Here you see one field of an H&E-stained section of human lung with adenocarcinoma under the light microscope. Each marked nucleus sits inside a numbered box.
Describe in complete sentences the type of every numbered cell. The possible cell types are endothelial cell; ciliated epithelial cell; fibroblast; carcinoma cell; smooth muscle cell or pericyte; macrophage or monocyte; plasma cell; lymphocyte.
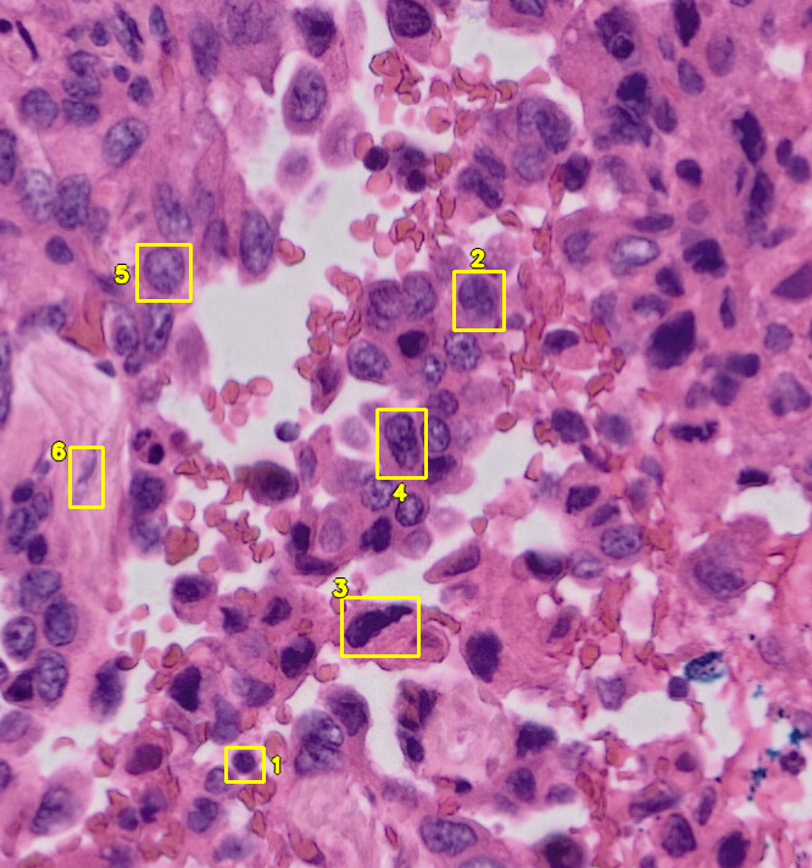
Cell 1 is a lymphocyte. Cells 2, 3, 4 and 5 are carcinoma cells. Cell 6 is a fibroblast.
